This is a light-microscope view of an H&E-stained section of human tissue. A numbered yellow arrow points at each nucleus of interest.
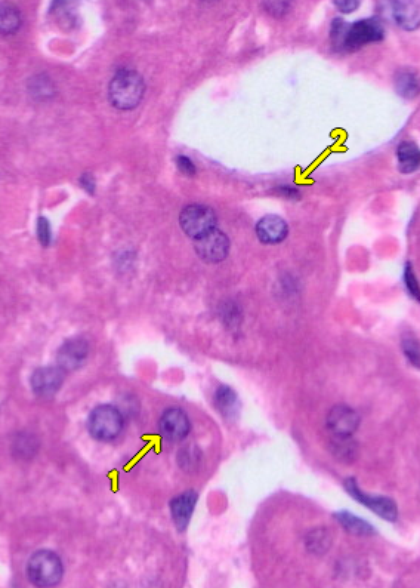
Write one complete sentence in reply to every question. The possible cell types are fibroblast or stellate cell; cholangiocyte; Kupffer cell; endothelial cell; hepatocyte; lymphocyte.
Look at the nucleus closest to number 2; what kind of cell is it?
The nearest nucleus to number 2 belongs to a cholangiocyte.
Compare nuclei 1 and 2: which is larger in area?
Nucleus 1 covers more area, about 2 times as much as nucleus 2.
